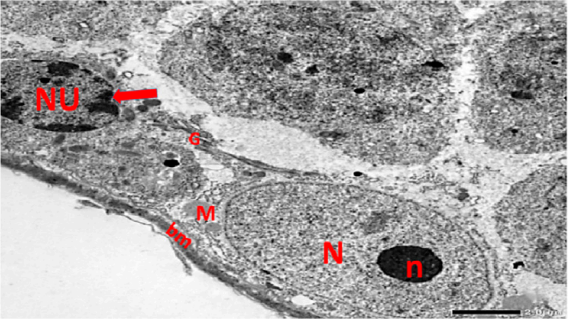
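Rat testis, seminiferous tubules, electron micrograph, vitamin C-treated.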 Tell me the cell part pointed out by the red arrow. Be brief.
Indented nuclear membrane.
